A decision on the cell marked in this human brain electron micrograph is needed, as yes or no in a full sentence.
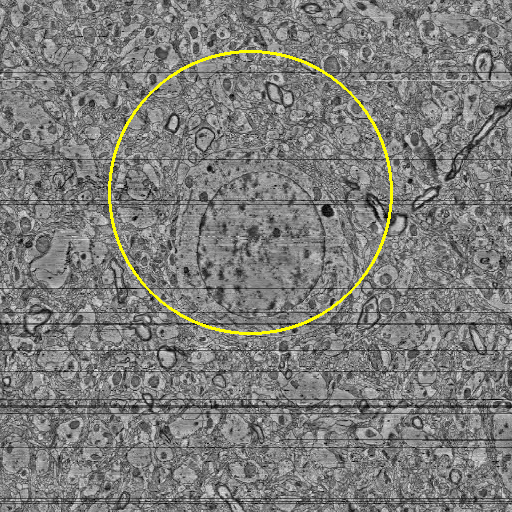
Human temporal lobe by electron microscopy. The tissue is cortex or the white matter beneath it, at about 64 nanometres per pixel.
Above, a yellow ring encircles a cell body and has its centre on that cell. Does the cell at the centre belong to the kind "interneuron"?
No, a different kind fits the cell at the centre of the ring in the picture.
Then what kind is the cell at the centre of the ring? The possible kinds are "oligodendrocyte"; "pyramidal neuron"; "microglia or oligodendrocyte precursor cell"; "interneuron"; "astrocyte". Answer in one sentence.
What the ring encloses here is a pyramidal neuron.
